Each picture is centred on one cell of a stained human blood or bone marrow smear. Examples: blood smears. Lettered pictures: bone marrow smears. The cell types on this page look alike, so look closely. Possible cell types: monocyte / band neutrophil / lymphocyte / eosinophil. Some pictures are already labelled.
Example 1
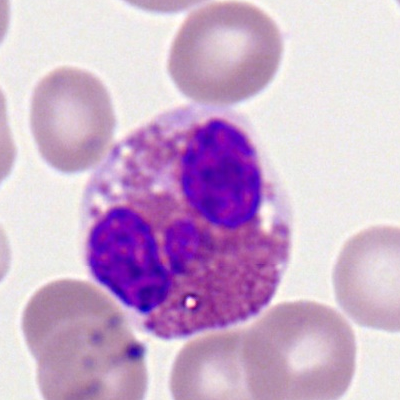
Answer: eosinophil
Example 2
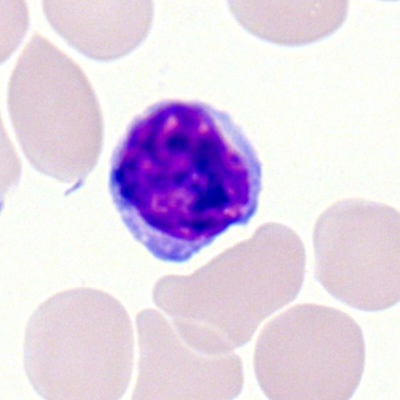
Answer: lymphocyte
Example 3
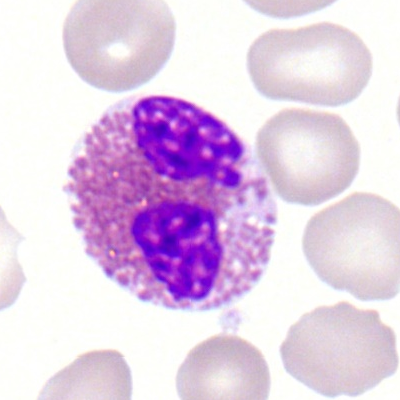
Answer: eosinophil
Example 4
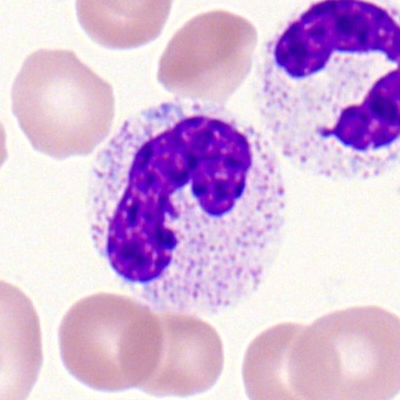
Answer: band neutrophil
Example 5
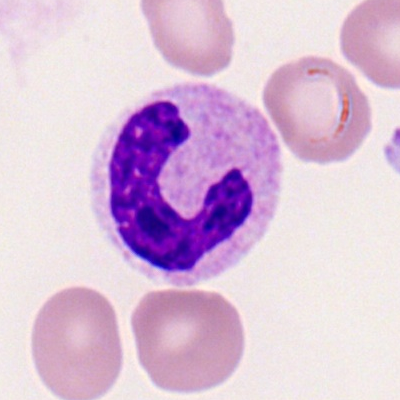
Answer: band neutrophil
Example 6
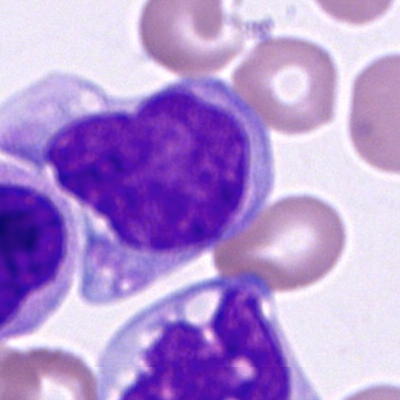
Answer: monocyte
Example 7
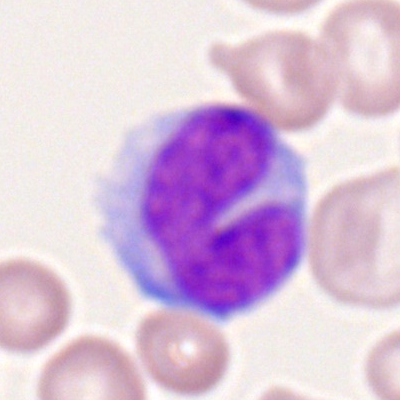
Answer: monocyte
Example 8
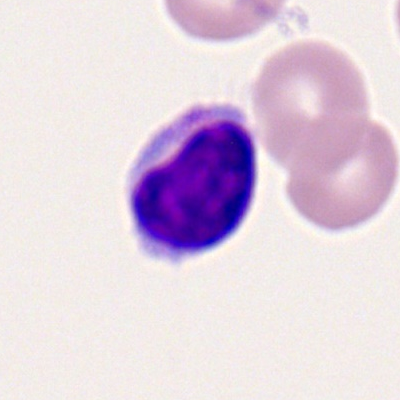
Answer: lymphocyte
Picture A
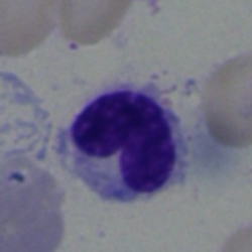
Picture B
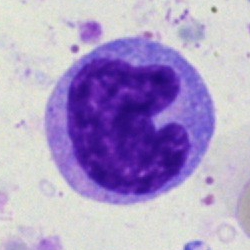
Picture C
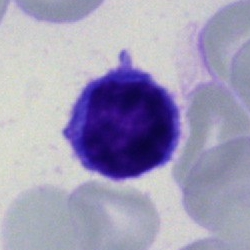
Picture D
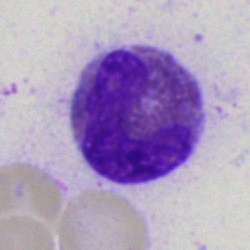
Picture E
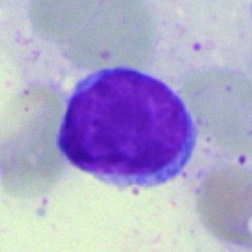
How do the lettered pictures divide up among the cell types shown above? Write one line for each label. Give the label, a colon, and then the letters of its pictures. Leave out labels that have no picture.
monocyte: B
band neutrophil: A
lymphocyte: C, E
eosinophil: D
